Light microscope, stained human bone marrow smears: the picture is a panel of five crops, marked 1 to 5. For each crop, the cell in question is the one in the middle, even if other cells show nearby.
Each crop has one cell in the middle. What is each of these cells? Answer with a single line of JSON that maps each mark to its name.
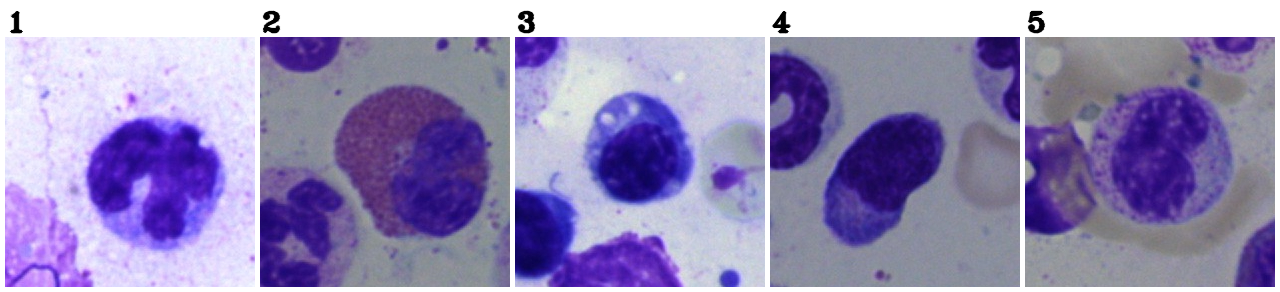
{"1": "monocyte", "2": "eosinophil", "3": "erythroblast", "4": "lymphocyte", "5": "metamyelocyte"}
